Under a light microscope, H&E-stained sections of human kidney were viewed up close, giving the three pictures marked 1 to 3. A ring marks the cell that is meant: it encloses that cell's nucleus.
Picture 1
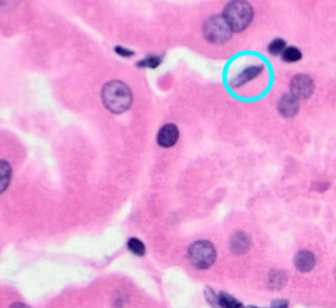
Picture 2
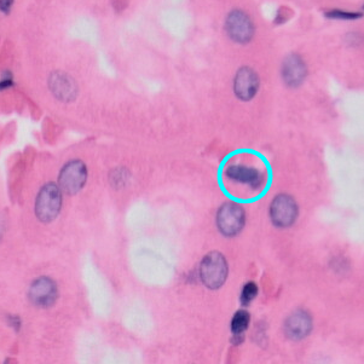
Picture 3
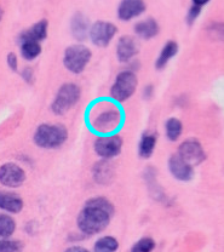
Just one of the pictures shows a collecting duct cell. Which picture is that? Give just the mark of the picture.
3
